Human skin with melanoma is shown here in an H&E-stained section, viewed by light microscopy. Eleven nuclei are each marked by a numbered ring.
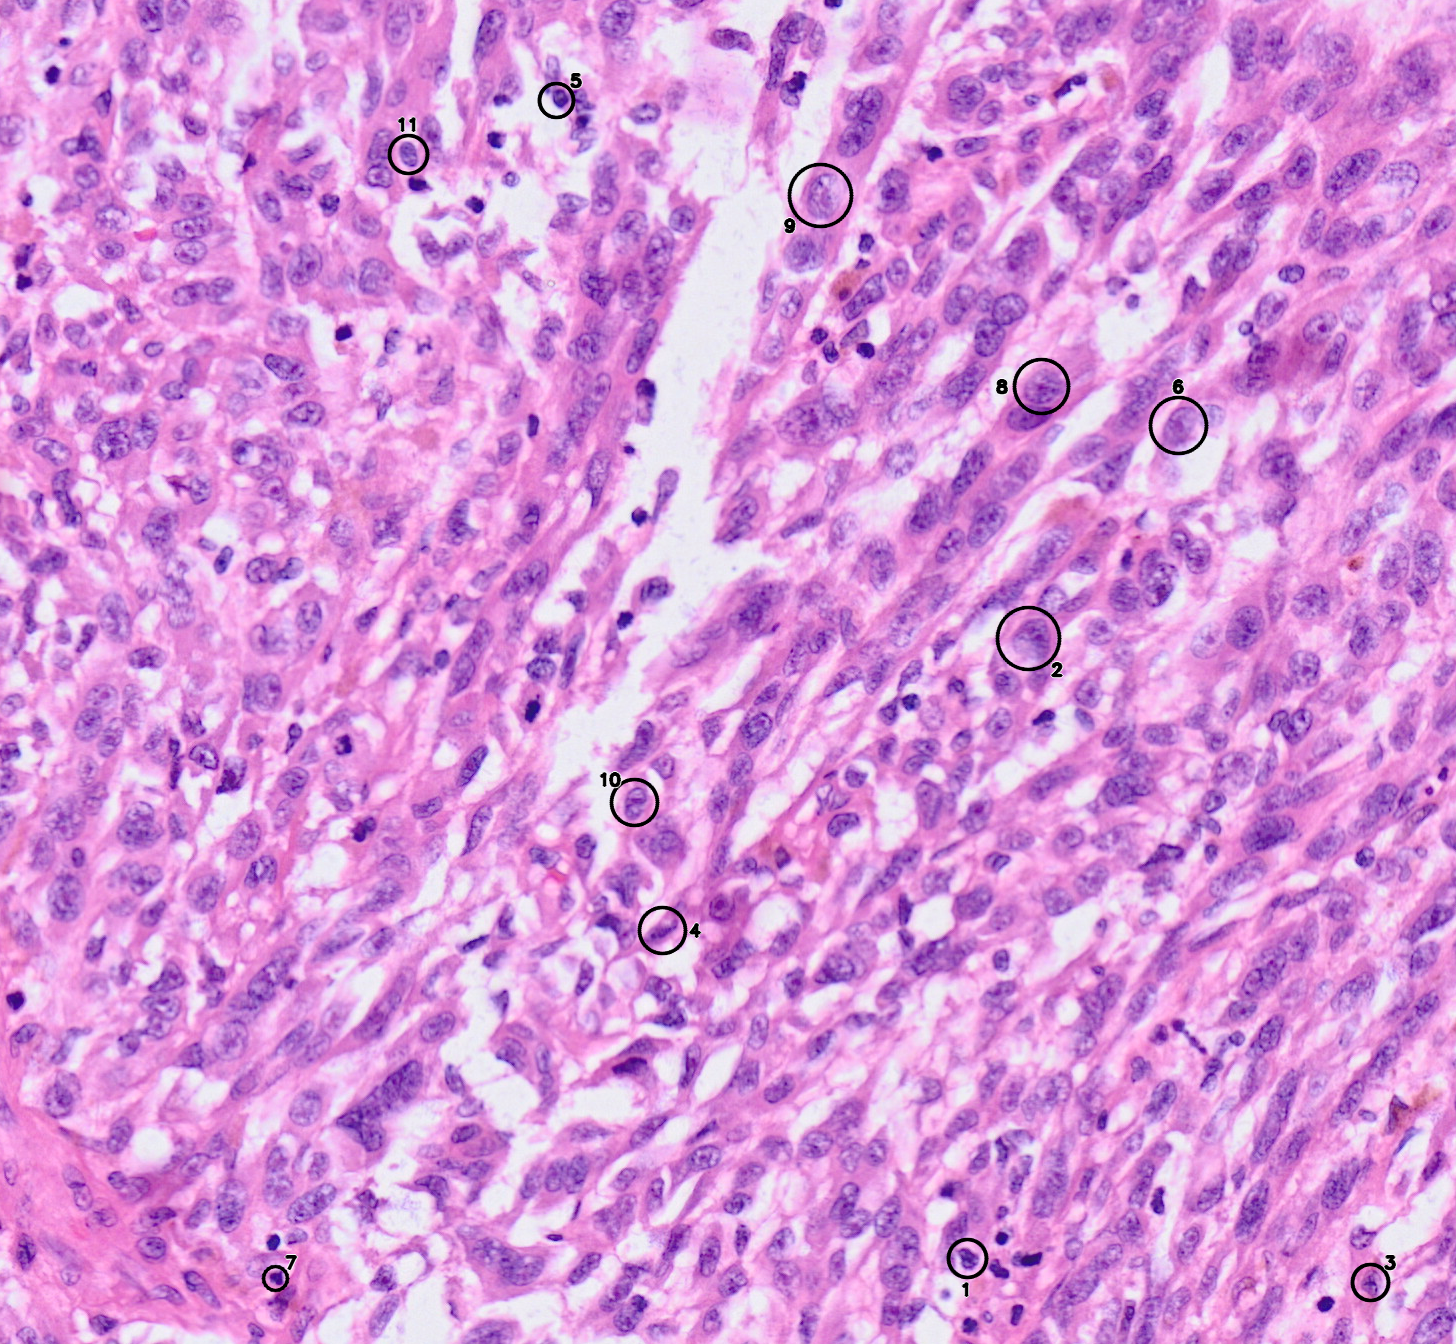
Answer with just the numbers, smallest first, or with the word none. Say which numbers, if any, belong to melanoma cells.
2, 4, 6, 8, 9, 10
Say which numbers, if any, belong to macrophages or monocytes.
3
